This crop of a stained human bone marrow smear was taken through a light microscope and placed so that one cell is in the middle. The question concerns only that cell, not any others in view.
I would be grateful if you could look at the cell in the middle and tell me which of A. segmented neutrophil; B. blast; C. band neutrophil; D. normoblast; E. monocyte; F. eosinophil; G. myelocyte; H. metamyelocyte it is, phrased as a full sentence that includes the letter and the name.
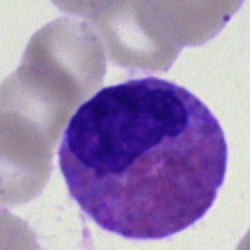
The cell positioned centrally is an eosinophil, as given in option F, which is correct.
